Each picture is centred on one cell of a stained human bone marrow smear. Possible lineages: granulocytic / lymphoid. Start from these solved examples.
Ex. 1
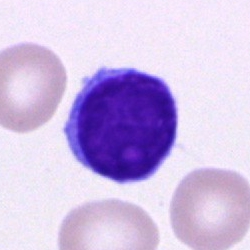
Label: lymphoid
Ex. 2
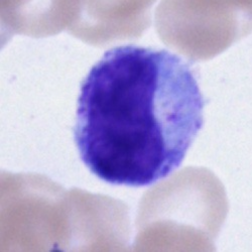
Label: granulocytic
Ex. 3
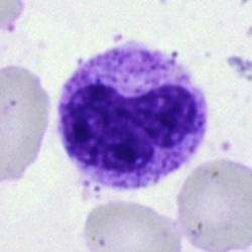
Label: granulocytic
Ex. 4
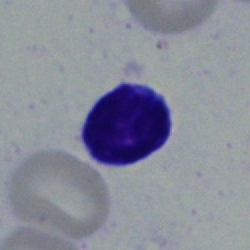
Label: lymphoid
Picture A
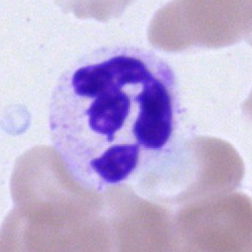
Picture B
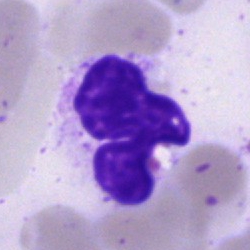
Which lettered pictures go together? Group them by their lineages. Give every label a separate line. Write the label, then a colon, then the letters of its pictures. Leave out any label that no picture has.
granulocytic: A, B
